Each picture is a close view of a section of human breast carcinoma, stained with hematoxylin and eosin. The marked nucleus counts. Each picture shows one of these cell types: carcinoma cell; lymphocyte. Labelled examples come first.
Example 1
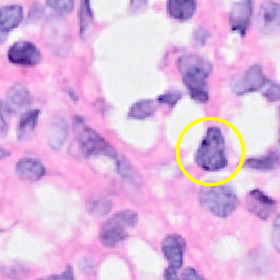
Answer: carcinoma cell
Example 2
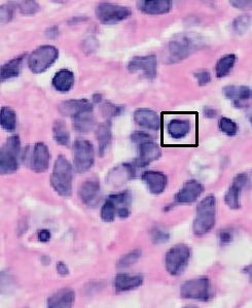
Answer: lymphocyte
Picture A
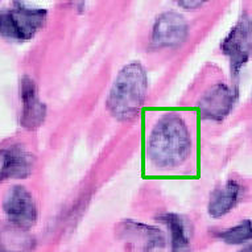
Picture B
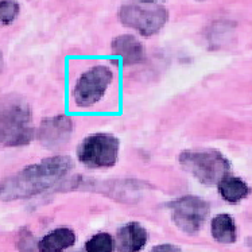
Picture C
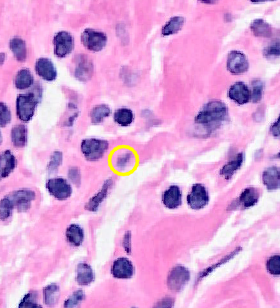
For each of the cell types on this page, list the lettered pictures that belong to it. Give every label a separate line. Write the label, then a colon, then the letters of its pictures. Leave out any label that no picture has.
carcinoma cell: A
lymphocyte: B, C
